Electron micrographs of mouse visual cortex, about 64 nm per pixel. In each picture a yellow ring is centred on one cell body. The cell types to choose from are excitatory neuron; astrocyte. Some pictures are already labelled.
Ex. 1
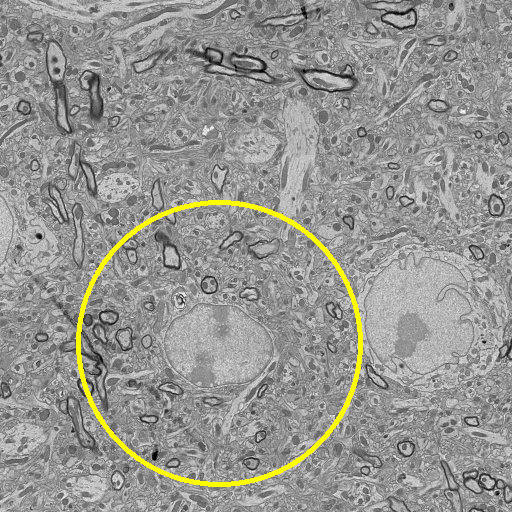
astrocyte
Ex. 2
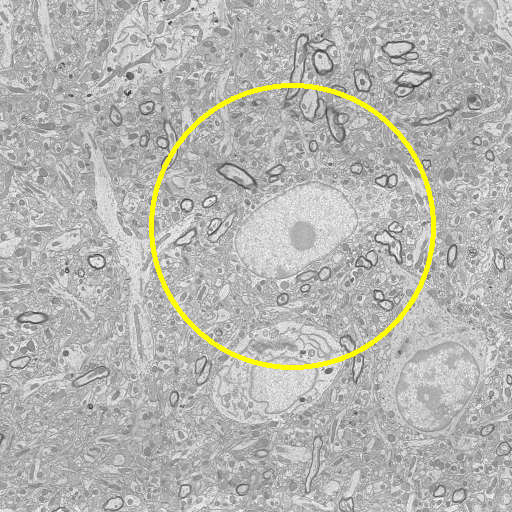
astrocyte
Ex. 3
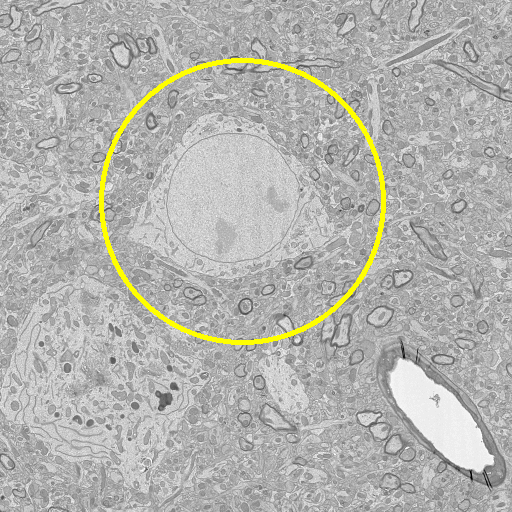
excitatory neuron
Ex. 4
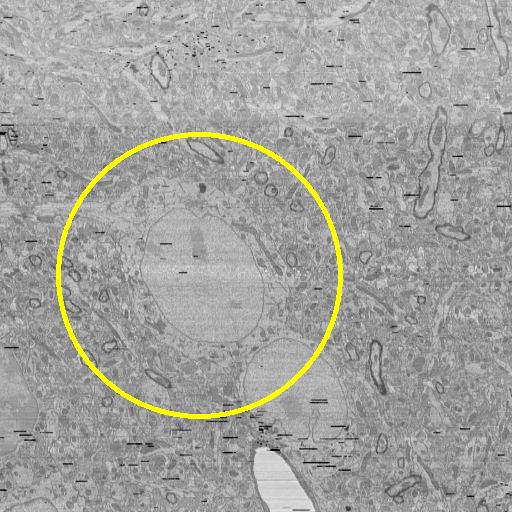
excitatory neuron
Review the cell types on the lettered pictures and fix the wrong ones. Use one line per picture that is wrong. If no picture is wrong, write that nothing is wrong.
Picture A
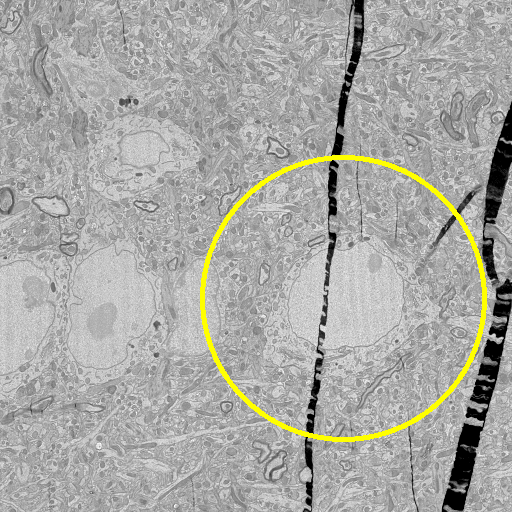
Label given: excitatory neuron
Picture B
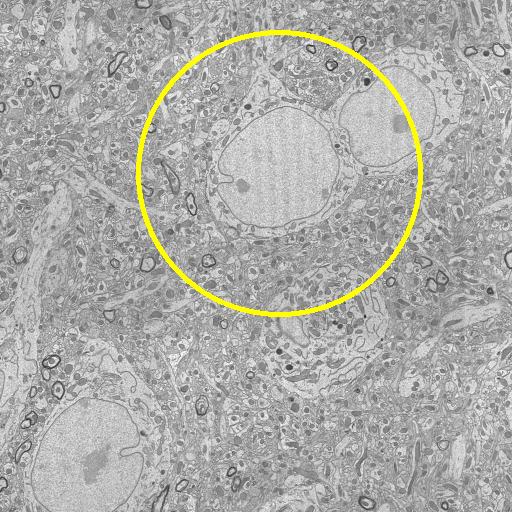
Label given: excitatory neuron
All correct.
